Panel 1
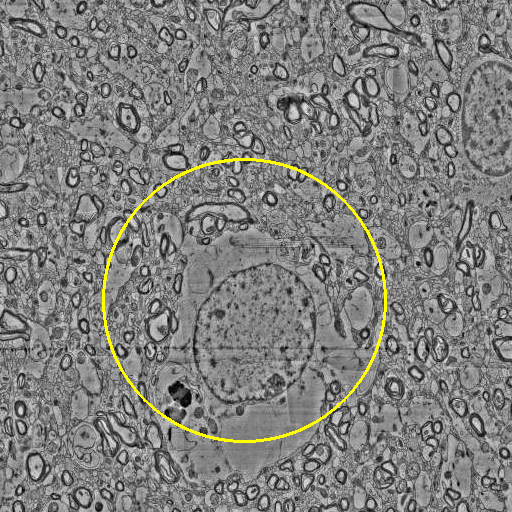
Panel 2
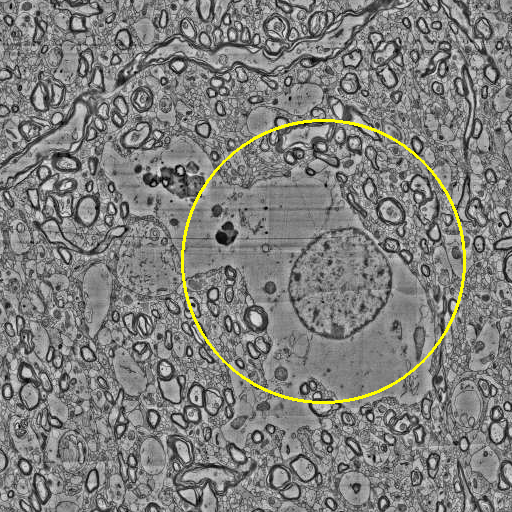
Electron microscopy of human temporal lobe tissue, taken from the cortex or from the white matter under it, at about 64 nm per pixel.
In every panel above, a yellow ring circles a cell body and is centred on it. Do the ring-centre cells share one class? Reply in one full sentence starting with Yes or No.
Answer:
Yes, the two cells at the ring centres in the panels belong to one class.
